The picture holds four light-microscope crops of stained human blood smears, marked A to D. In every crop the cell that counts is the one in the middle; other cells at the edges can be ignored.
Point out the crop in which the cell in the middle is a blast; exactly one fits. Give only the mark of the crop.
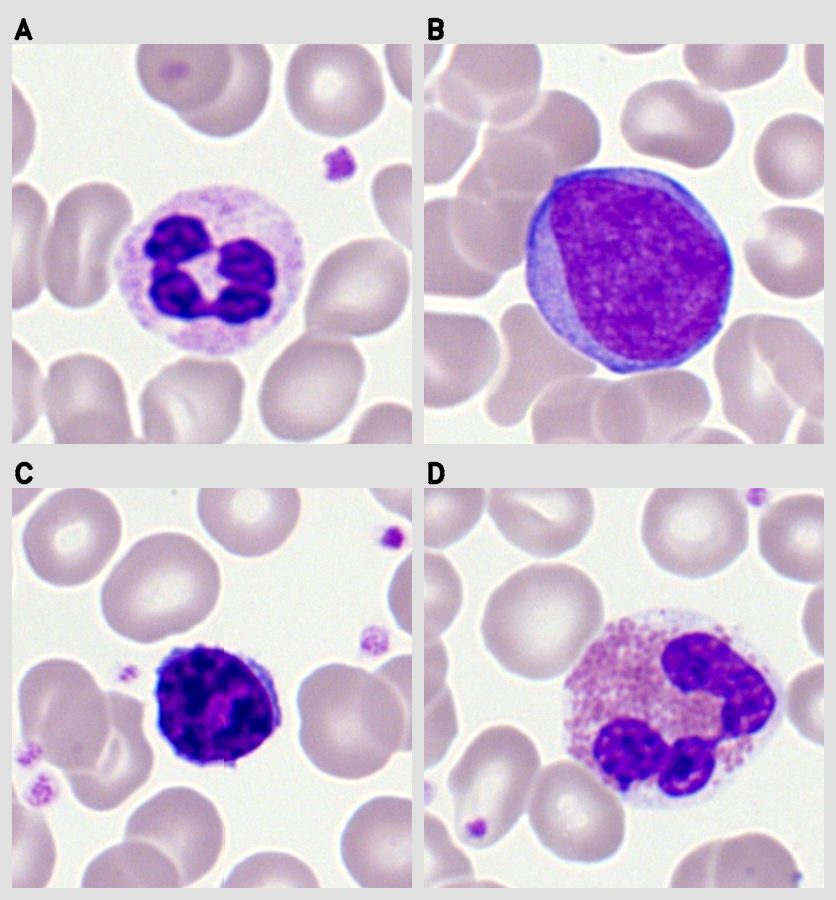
B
